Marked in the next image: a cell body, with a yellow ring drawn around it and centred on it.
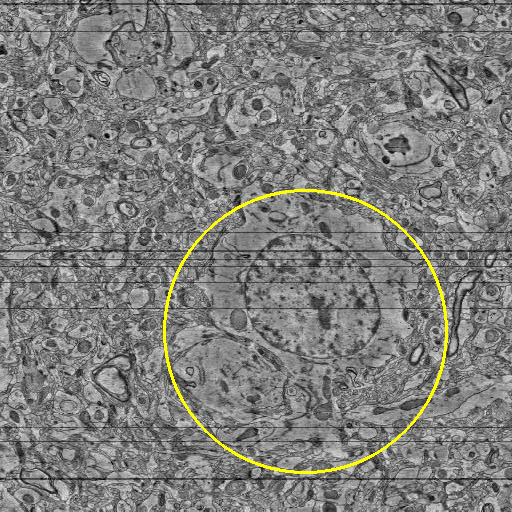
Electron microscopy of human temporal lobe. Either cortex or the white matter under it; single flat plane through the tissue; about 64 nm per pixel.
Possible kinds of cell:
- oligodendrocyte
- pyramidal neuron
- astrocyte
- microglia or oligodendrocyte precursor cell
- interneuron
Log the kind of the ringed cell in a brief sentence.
The ringed cell body is that of an astrocyte.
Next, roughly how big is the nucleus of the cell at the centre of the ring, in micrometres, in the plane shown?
The nucleus appears roughly 9 by 8 micrometres in this plane.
